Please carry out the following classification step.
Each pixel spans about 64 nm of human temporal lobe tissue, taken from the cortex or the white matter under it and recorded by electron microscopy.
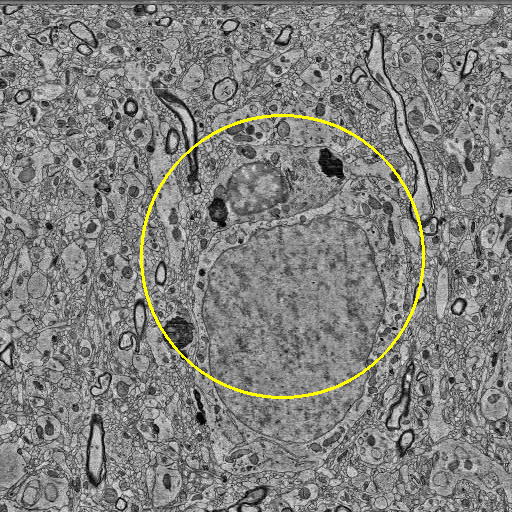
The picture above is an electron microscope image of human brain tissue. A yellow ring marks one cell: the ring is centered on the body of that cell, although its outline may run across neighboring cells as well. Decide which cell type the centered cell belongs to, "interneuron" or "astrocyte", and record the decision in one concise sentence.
The cell centered in the yellow ring is an interneuron.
